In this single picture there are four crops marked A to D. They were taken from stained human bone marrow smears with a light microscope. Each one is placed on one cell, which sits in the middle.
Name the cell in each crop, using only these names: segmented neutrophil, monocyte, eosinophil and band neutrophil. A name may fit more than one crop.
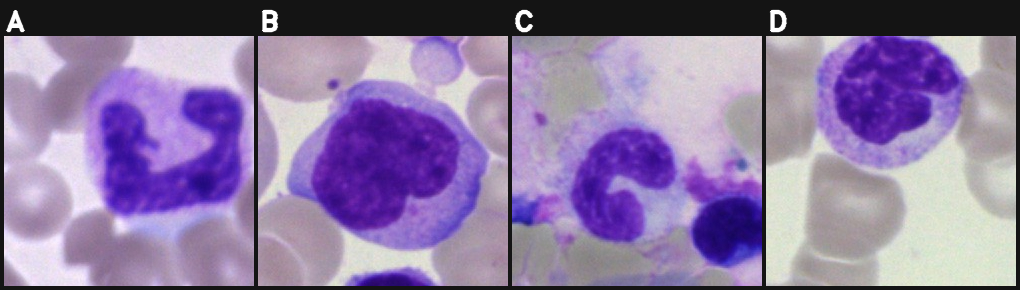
A: band neutrophil
B: monocyte
C: band neutrophil
D: segmented neutrophil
